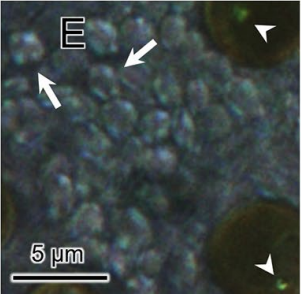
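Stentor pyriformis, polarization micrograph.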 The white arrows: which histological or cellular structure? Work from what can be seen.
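Granules show a cross-shaped bright pattern.
Answer: Maltese cross pattern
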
